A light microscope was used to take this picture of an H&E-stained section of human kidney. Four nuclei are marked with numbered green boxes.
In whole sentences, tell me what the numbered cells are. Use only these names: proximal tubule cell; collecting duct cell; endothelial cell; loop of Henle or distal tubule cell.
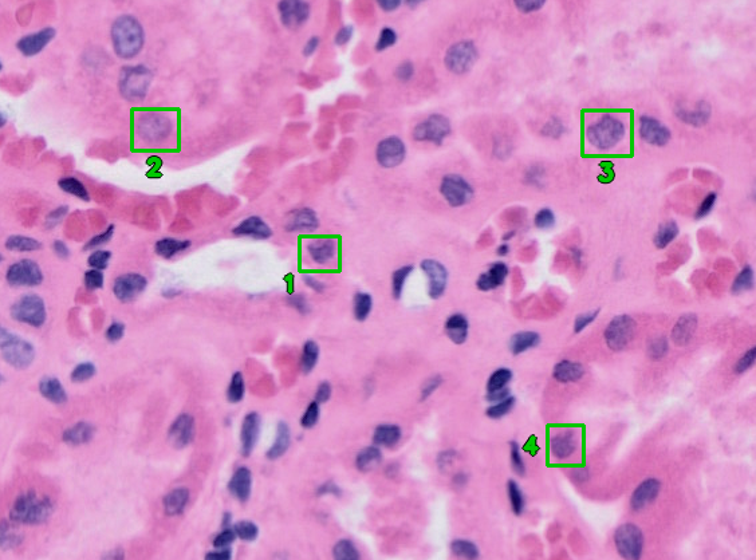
Cell 1 is a loop of Henle or distal tubule cell. Cells 2, 3 and 4 are proximal tubule cells.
